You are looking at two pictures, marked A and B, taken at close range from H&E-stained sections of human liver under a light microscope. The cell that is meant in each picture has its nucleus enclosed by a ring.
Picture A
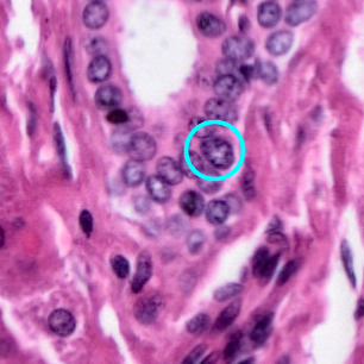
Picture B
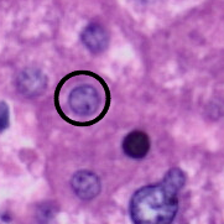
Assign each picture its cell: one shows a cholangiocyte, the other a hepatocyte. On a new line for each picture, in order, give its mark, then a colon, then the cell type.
A: cholangiocyte
B: hepatocyte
